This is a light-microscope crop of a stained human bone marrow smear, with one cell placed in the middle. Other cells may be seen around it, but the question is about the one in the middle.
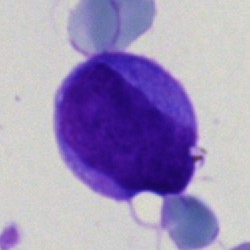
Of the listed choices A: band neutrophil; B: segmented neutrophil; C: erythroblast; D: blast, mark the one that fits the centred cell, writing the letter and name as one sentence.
The middle of the crop holds a blast, which points to option D.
